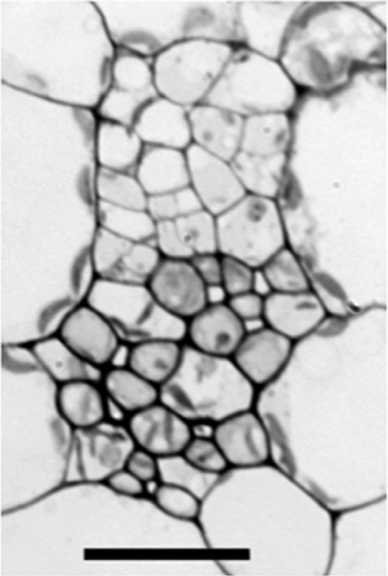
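This is a cross-section through a small leaf vein, surrounded by large, pale bundle sheath and mesophyll cells. The upper part of the vein holds pale, angular cells, while the lower phloem part is a cluster of rounded, dark-walled companion cells with grey contents, mixed with smaller sieve elements and lighter, angular phloem parenchyma.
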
